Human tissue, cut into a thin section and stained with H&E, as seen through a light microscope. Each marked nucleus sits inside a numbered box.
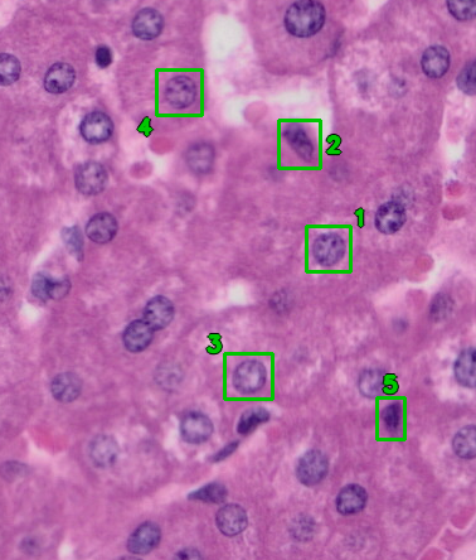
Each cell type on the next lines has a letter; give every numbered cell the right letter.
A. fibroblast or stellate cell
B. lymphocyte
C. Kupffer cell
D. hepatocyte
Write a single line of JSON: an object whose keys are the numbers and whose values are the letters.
{"1": "D", "2": "C", "3": "D", "4": "D", "5": "A"}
